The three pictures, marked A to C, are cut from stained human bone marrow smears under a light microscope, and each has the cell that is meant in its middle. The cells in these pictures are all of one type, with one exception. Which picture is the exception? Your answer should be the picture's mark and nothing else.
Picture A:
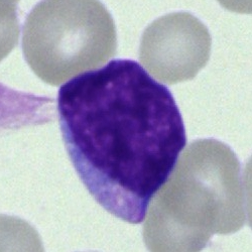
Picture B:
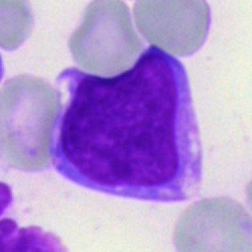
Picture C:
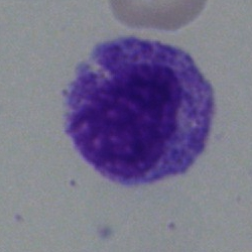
C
